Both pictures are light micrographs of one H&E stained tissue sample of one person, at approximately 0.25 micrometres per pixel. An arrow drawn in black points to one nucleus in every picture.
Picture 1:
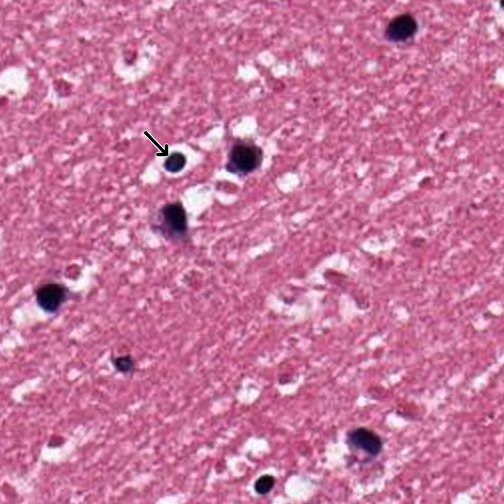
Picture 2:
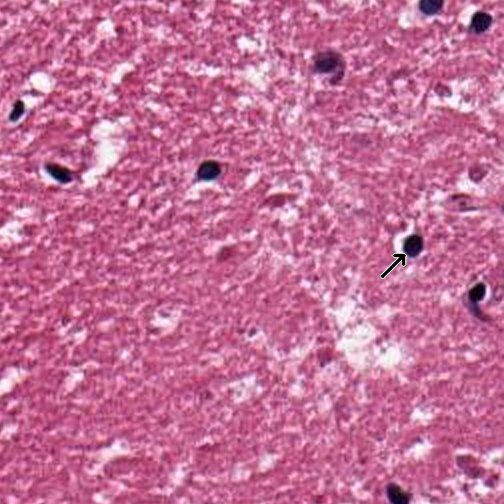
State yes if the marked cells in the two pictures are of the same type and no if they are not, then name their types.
Yes, both are oligodendrocytes.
